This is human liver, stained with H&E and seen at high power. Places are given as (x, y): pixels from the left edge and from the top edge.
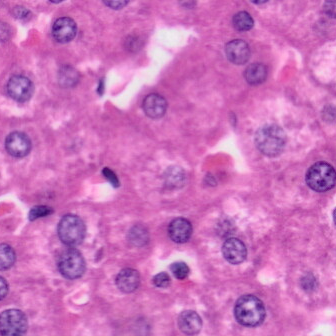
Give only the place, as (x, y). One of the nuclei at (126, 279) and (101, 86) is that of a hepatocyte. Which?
(126, 279)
